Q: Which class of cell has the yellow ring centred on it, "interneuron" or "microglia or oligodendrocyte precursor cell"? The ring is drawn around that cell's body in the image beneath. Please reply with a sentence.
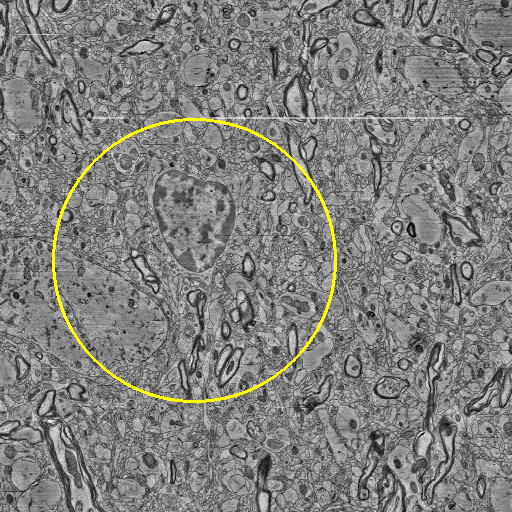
It is centred on a microglial cell or oligodendrocyte precursor cell.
